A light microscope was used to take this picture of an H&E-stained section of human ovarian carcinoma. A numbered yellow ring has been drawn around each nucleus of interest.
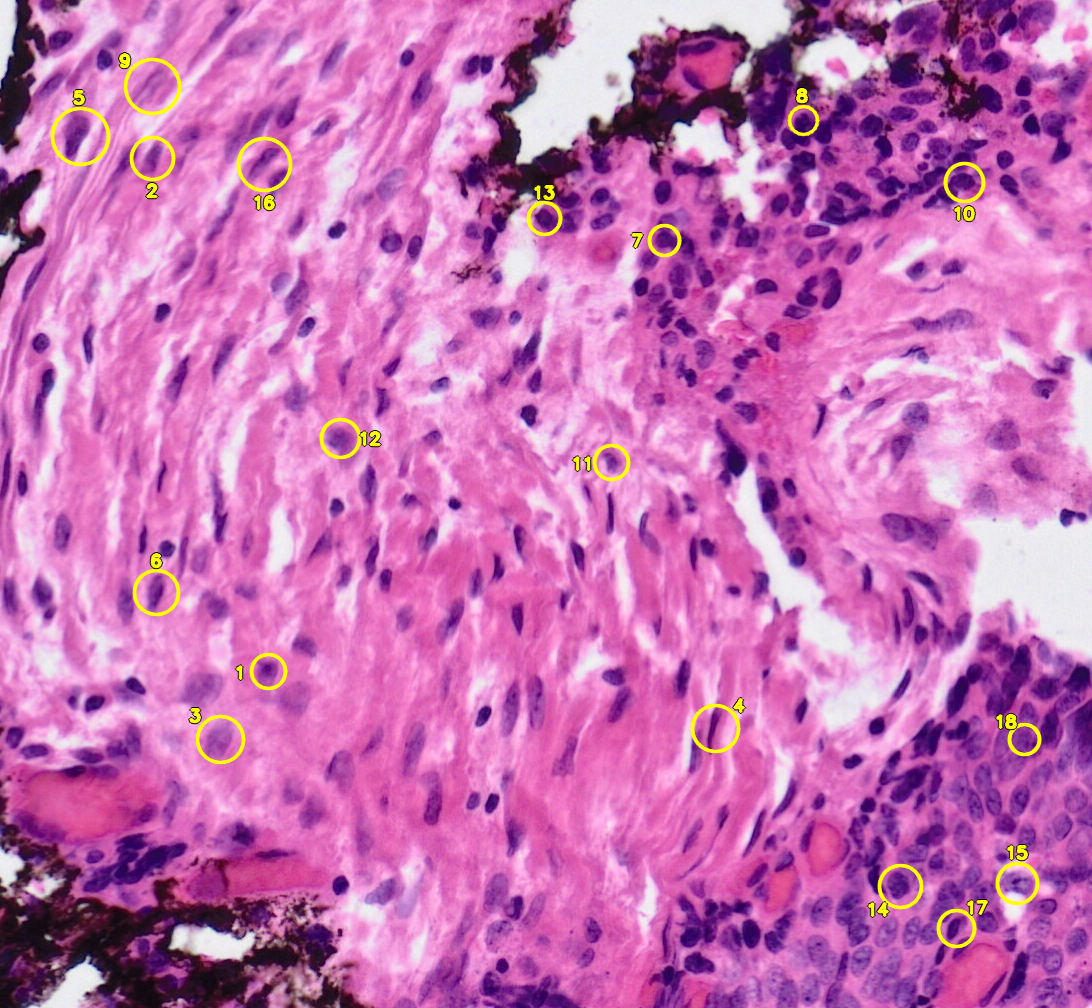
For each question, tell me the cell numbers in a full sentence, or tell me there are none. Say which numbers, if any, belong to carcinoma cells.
The cells labelled 7, 8, 10, 13, 14, 17 and 18 in this section are carcinoma cells.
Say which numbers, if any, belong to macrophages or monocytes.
It is only cell 15 that is a macrophage or monocyte among the numbered cells.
